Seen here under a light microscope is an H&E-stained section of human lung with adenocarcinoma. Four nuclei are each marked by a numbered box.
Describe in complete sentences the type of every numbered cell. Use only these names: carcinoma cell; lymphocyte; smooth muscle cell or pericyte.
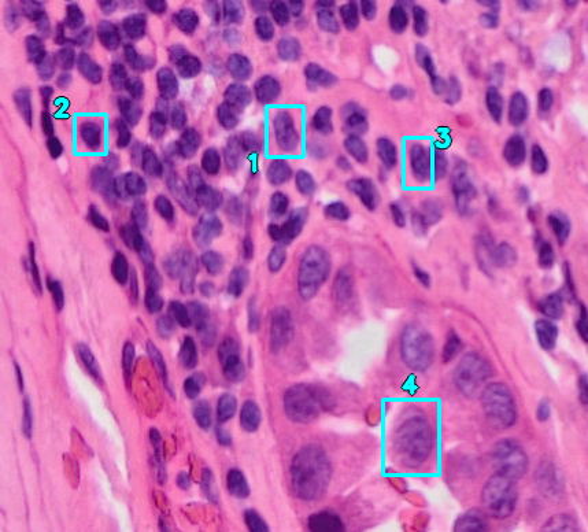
Cells 1, 2 and 3 are lymphocytes. Cell 4 is a carcinoma cell.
